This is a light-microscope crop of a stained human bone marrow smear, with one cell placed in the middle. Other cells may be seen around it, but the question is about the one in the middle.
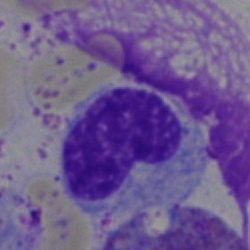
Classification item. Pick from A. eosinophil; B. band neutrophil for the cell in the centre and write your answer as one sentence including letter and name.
Option B is correct here, and the cell in the middle is a band neutrophil.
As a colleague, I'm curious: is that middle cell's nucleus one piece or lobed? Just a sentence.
Just one compact nuclear mass here, round, oval or kidney-shaped.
